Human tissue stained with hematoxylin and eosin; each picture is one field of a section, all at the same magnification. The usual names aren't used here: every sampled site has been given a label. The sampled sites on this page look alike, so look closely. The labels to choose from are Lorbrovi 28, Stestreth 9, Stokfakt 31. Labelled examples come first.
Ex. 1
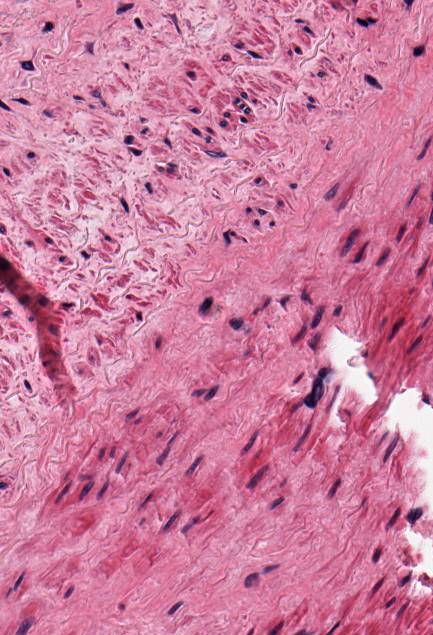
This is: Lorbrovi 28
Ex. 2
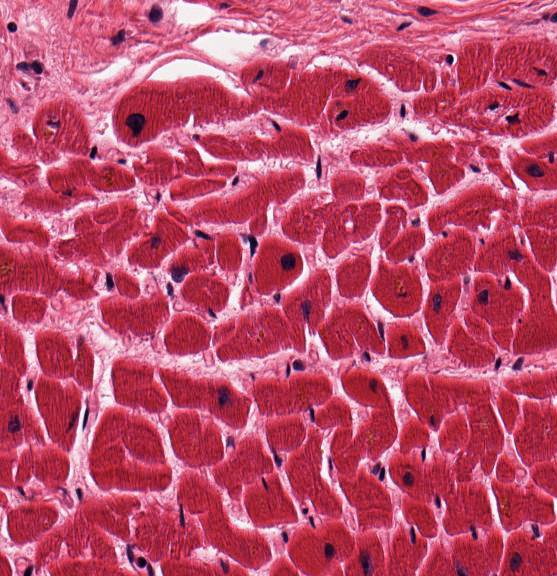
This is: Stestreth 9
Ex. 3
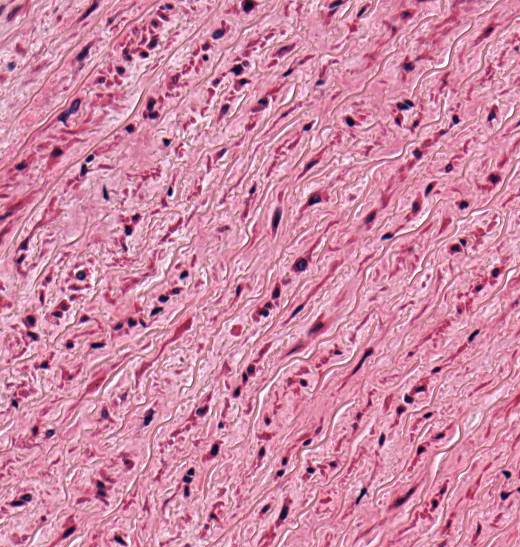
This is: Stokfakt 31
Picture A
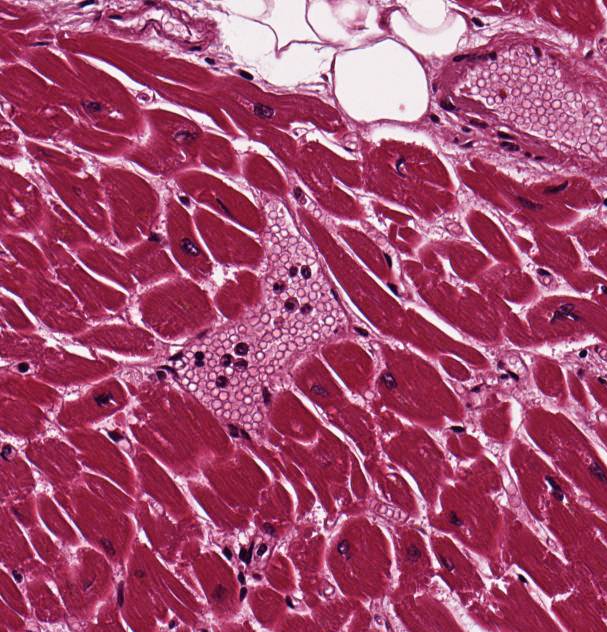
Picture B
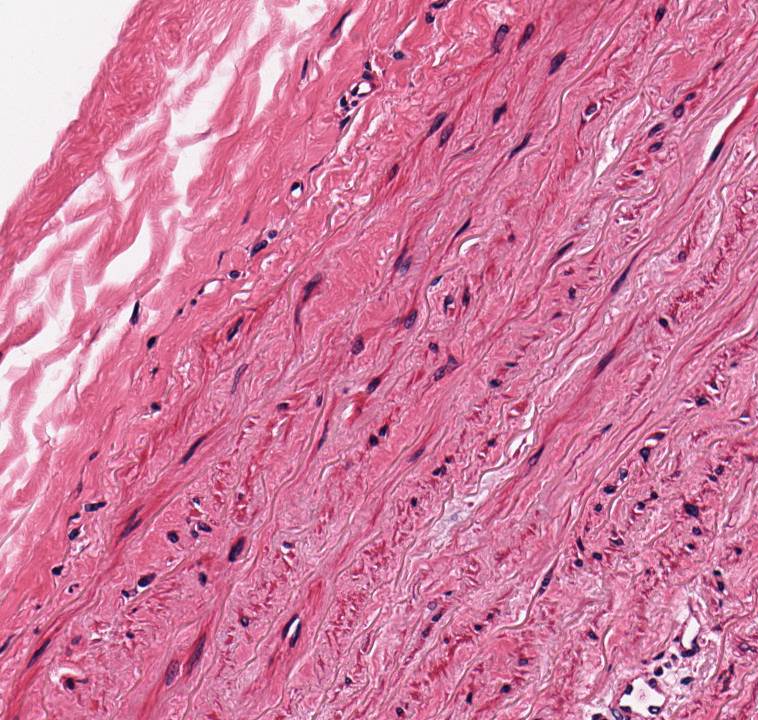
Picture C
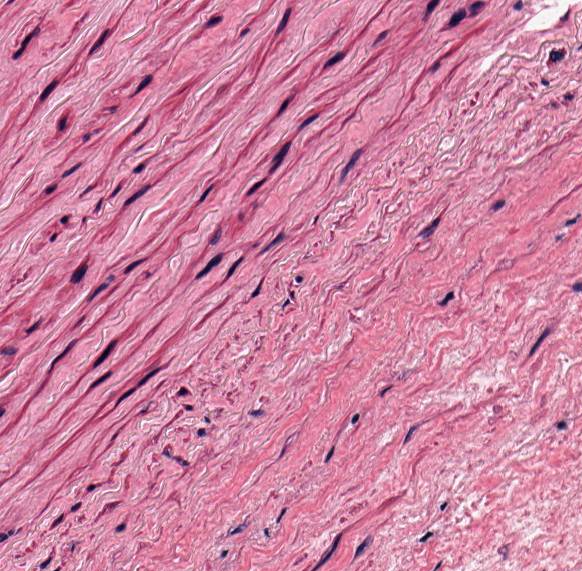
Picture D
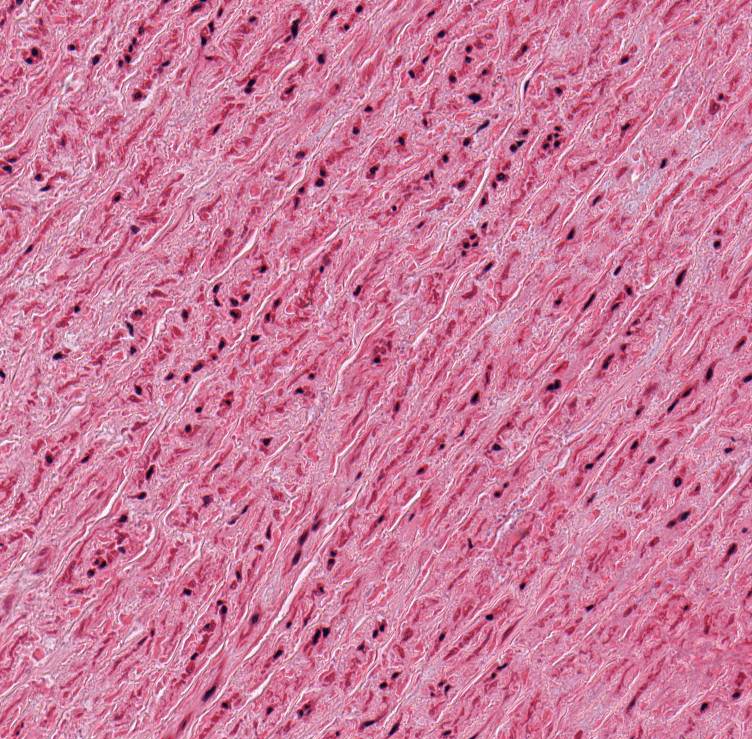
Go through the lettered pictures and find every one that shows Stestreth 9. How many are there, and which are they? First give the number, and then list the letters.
1, namely A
